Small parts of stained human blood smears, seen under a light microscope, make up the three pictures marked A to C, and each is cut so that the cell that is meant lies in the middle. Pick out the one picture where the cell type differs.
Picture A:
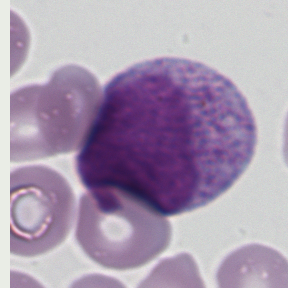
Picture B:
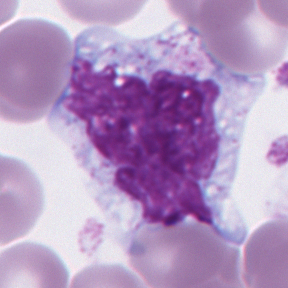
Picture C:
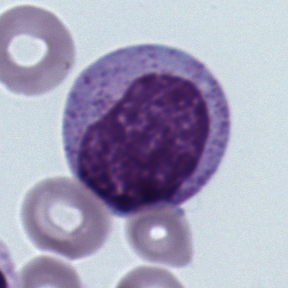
B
